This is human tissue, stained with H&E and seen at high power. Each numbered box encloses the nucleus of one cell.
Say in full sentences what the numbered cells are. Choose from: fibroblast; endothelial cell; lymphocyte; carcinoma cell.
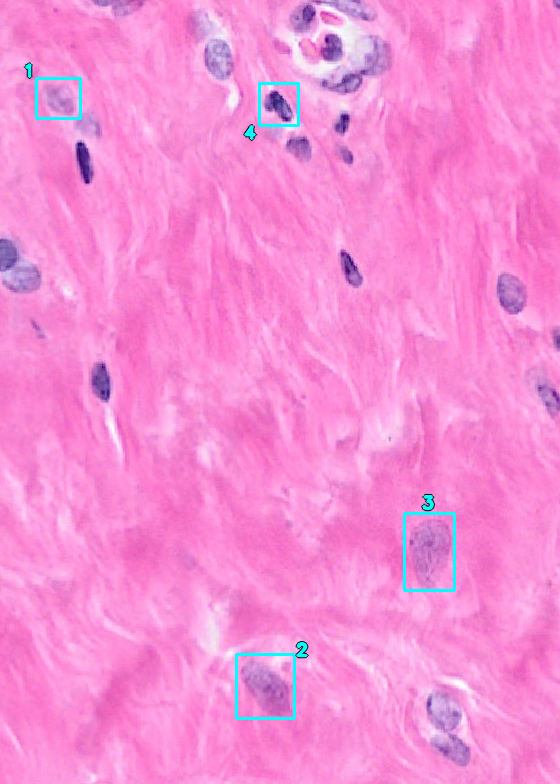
Cells 1, 2 and 3 are fibroblasts. Cell 4 is a lymphocyte.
